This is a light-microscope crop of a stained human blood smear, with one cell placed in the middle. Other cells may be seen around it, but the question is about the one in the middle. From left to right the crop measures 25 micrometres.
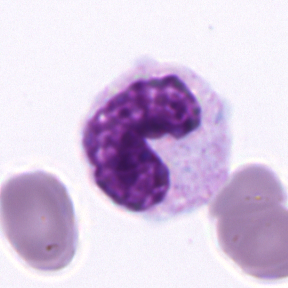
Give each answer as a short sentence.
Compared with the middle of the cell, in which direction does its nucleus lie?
The nucleus sits off-centre, toward the left.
